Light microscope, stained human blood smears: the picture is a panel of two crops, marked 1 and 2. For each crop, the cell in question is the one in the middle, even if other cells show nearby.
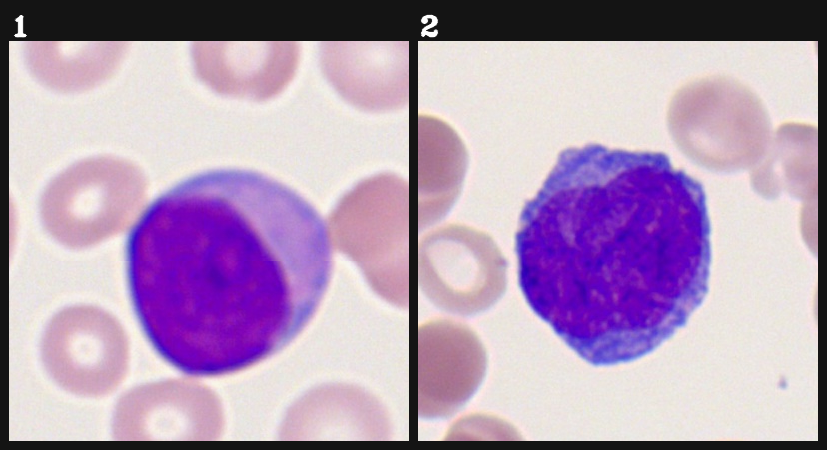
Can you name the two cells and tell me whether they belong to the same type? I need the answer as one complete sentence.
Yes, both crops are centred on cells that are myeloblasts.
